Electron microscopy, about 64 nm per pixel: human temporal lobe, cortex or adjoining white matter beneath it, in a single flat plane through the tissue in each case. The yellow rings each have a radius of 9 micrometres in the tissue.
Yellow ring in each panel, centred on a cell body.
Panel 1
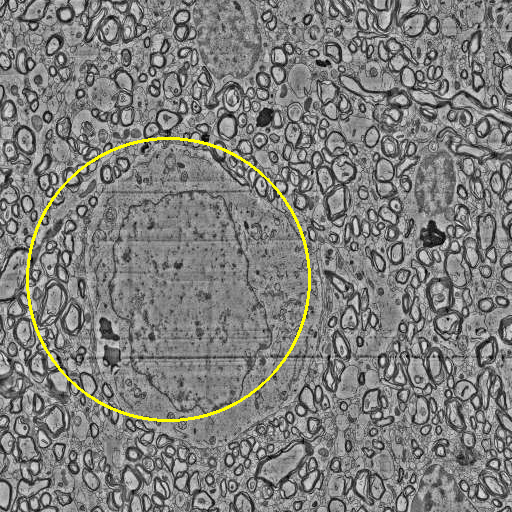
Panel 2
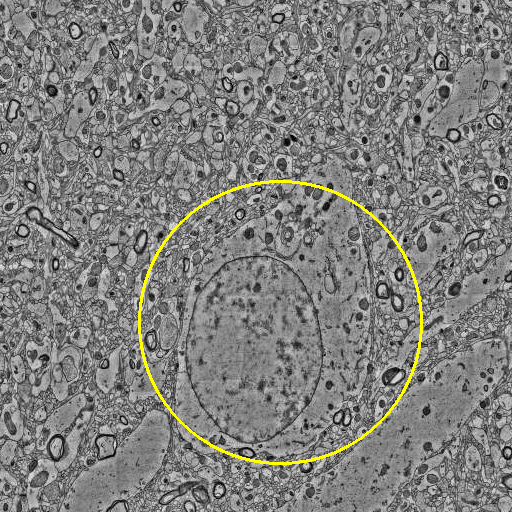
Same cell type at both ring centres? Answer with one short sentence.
Yes, both cells are of the same type.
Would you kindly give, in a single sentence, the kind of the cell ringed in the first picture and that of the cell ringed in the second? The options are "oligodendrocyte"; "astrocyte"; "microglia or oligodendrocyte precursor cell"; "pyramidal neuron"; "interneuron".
Each cell, in the first picture and the second, is a pyramidal neuron.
